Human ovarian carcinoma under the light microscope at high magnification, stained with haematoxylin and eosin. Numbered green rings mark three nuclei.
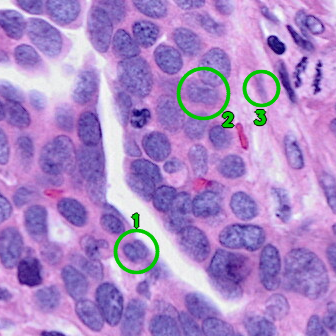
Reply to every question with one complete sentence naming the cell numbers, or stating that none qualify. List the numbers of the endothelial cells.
The numbered set holds no endothelial cells whatsoever.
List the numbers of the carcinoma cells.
So, the cells with numbers 1 and 2 are carcinoma cells.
